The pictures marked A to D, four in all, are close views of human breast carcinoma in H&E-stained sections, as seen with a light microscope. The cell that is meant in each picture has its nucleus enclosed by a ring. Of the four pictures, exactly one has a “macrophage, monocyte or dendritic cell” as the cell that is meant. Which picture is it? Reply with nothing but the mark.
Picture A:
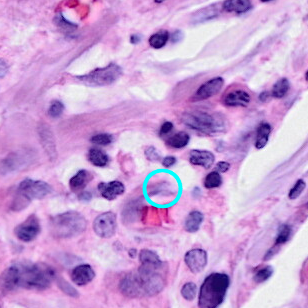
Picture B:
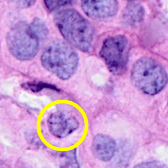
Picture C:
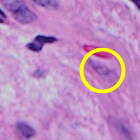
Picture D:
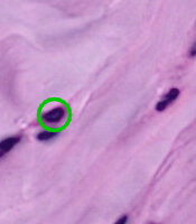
B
